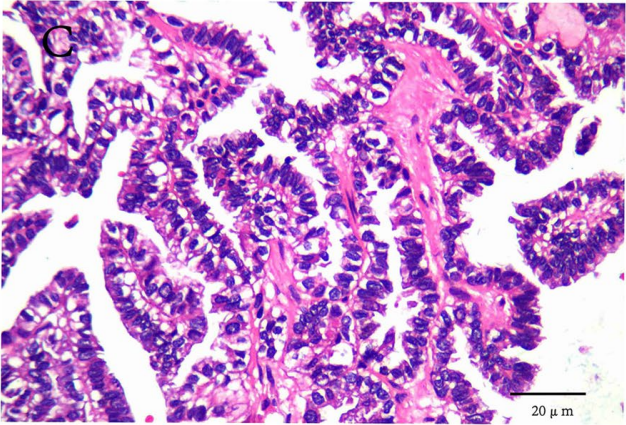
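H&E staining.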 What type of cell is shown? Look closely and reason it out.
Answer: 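Tall cells line the fronds in one or crowded-looking layers. Nuclei are similar in size and round to oval.
Conclusion: cuboidal or columnar tumor cells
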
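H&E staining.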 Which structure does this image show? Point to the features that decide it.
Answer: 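Papillae. Finger-like fronds with thin pink fibrovascular cores. Each core is covered by a lining of epithelial cells. Clear spaces separate the fronds.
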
